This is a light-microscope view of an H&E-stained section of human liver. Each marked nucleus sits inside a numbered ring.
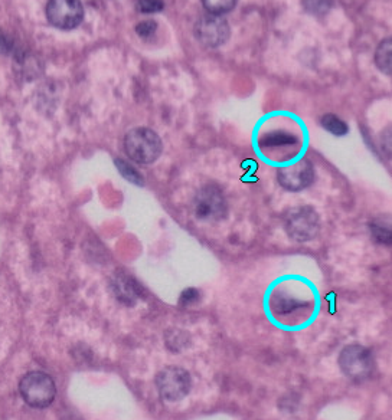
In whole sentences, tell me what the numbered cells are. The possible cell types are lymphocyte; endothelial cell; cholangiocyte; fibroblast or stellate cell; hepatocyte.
Cell 1 is an endothelial cell. Cell 2 is a fibroblast or stellate cell.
